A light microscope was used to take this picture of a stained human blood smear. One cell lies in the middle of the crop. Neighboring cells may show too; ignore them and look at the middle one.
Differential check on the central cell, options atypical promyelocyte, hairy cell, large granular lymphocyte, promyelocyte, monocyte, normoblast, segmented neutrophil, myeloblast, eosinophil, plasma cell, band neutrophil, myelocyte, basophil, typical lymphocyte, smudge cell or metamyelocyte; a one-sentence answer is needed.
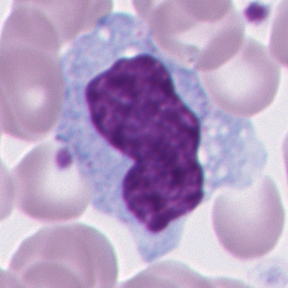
The central cell, amid any neighbouring cells, is a monocyte.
